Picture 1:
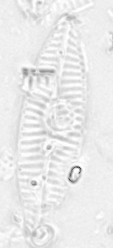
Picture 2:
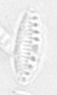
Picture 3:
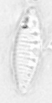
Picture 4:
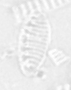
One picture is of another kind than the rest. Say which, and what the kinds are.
Picture 1 shows Navicula; the rest show Nitzschia.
